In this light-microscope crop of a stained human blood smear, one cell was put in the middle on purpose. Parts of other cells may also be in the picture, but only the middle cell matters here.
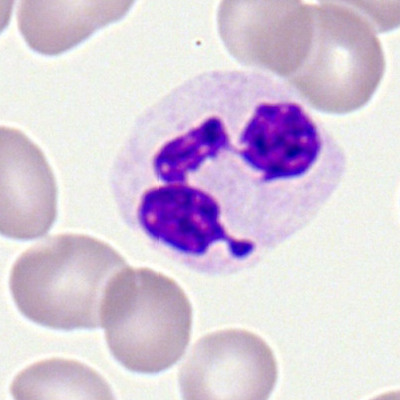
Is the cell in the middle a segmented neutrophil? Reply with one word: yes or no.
yes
